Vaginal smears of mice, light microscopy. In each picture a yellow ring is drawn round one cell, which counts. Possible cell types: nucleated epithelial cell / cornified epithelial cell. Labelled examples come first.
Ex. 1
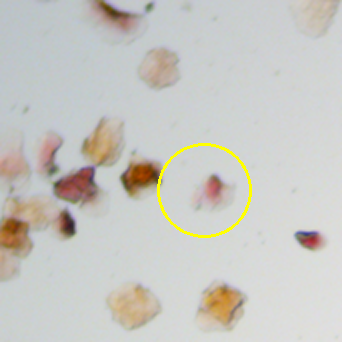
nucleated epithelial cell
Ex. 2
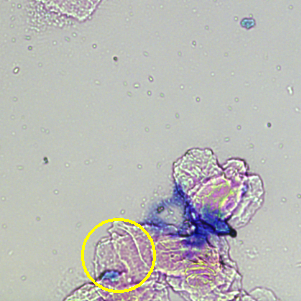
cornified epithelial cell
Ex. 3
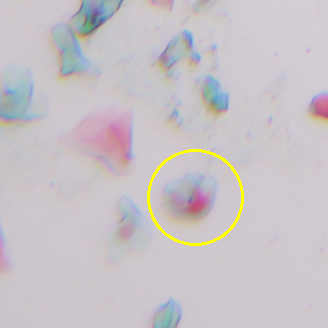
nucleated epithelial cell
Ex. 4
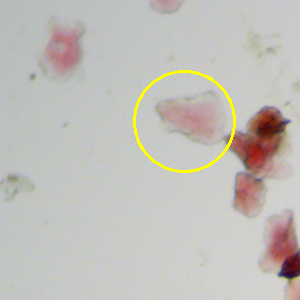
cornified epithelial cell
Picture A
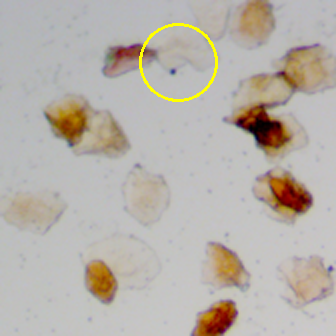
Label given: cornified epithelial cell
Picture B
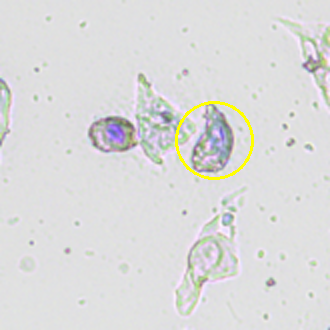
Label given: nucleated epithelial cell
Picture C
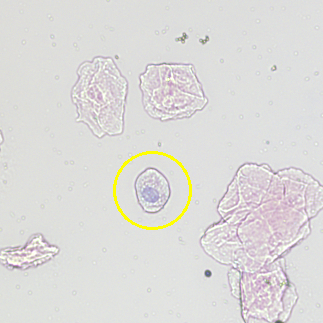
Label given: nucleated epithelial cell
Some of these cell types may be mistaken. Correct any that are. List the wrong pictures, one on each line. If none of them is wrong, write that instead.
No label is wrong.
